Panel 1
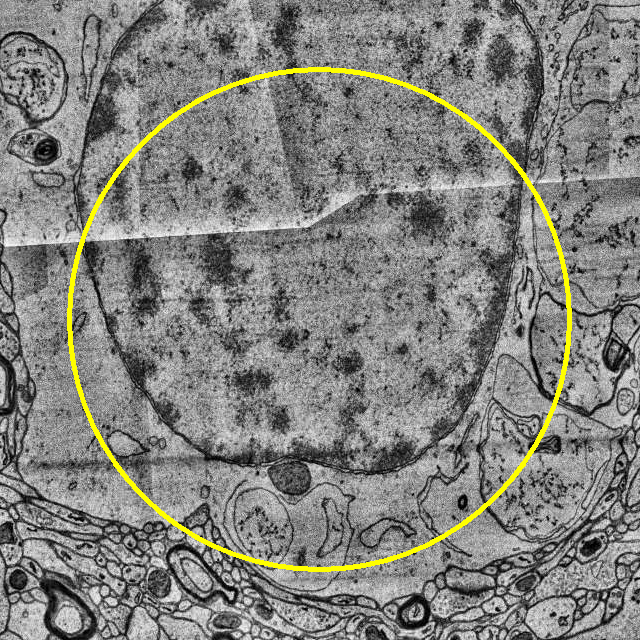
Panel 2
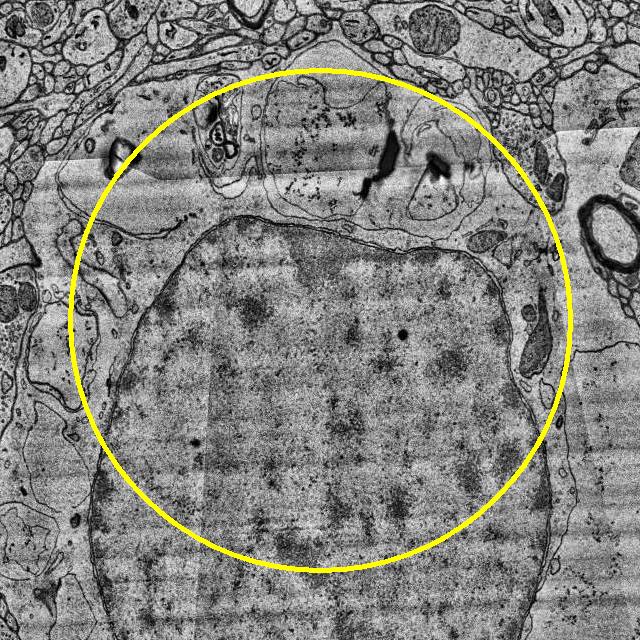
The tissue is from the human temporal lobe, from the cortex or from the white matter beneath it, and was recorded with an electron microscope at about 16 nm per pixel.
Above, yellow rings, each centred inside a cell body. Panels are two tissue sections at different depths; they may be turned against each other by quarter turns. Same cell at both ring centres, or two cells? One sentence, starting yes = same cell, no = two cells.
Yes, the same cell has been marked in both yellow rings.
